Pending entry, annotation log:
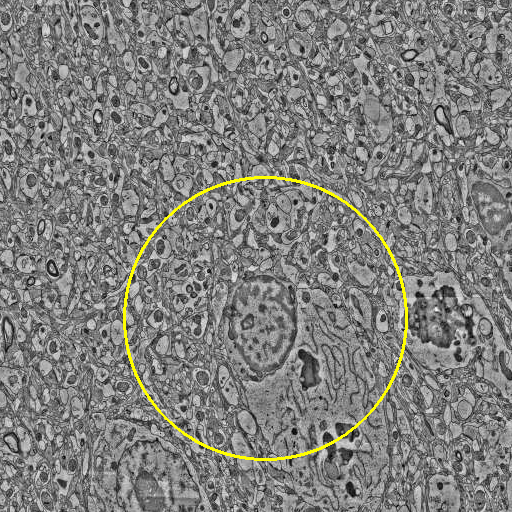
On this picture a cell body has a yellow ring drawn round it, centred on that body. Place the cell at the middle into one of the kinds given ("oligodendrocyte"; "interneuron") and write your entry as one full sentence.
The cell body at the middle of the yellow ring belongs to an oligodendrocyte.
